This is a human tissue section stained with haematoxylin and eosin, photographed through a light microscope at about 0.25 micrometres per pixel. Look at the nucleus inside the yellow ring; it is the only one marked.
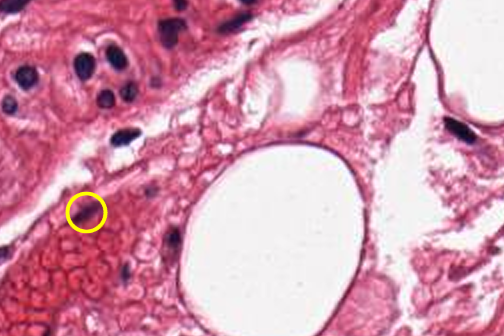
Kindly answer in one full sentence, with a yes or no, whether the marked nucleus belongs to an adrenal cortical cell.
No, the cell to which the marked nucleus belongs is a supporting cell rather than an adrenal cortical cell.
